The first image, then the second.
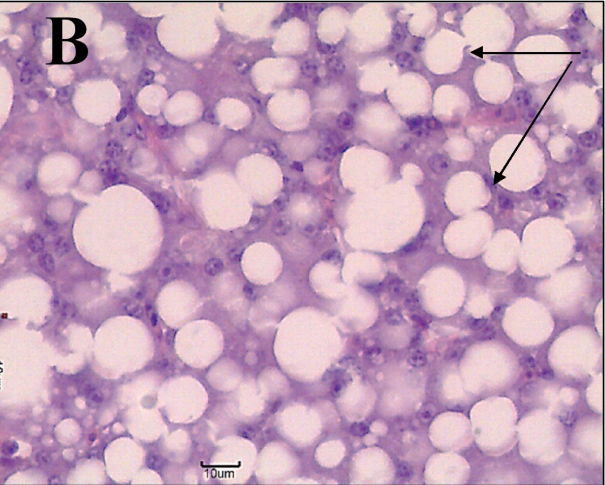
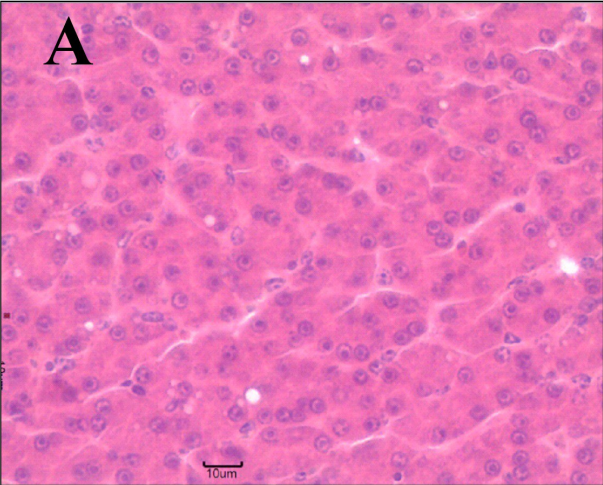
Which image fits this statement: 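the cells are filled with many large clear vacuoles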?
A: The first image.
